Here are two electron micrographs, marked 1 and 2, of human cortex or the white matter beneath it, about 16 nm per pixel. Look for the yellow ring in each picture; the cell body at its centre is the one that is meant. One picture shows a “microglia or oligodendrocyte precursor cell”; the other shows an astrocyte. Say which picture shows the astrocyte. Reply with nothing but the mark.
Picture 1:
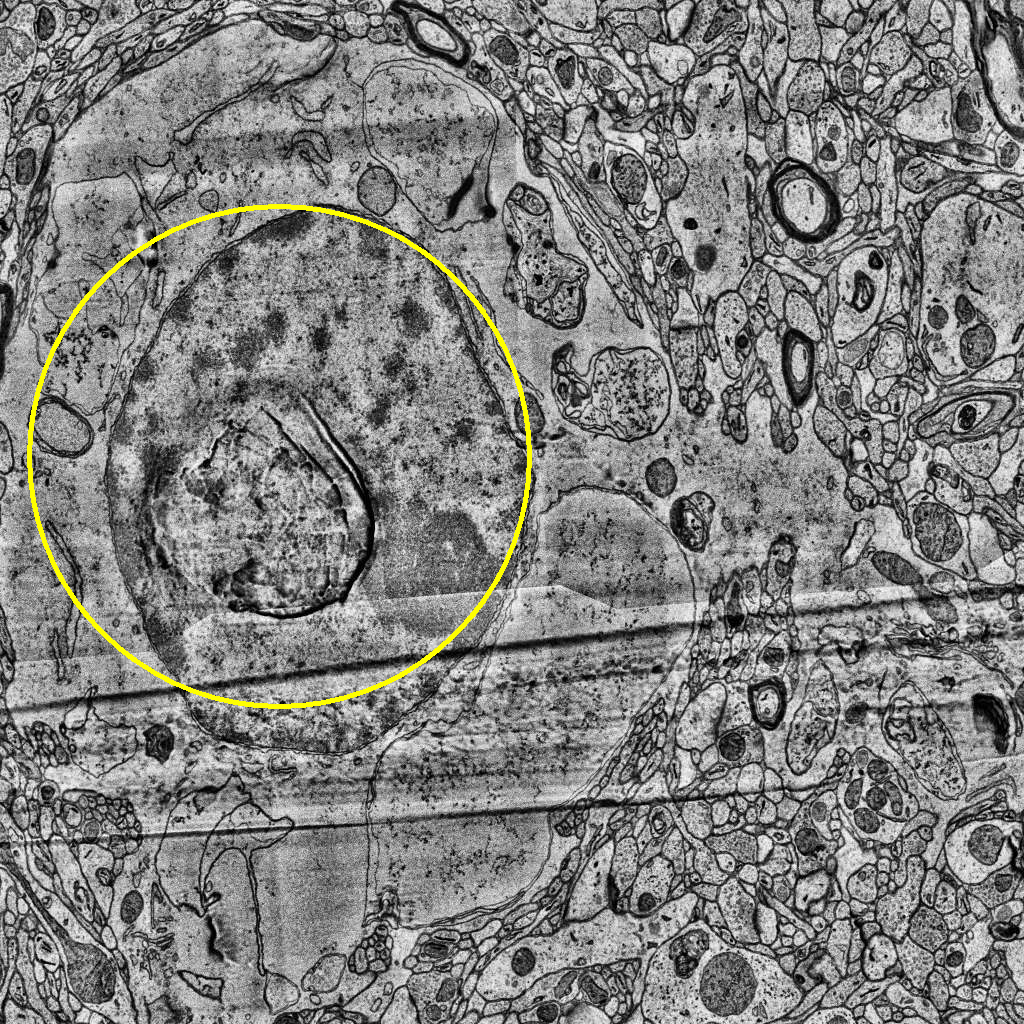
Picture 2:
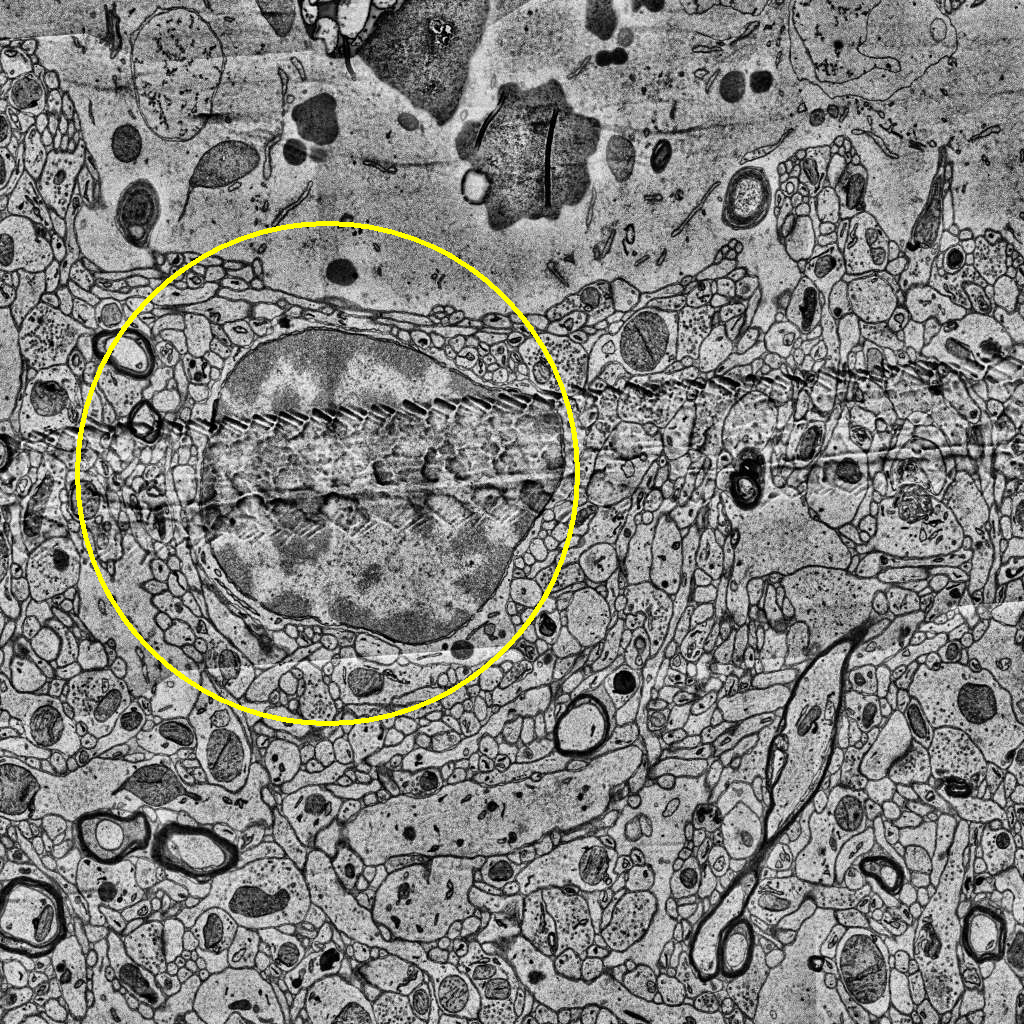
1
